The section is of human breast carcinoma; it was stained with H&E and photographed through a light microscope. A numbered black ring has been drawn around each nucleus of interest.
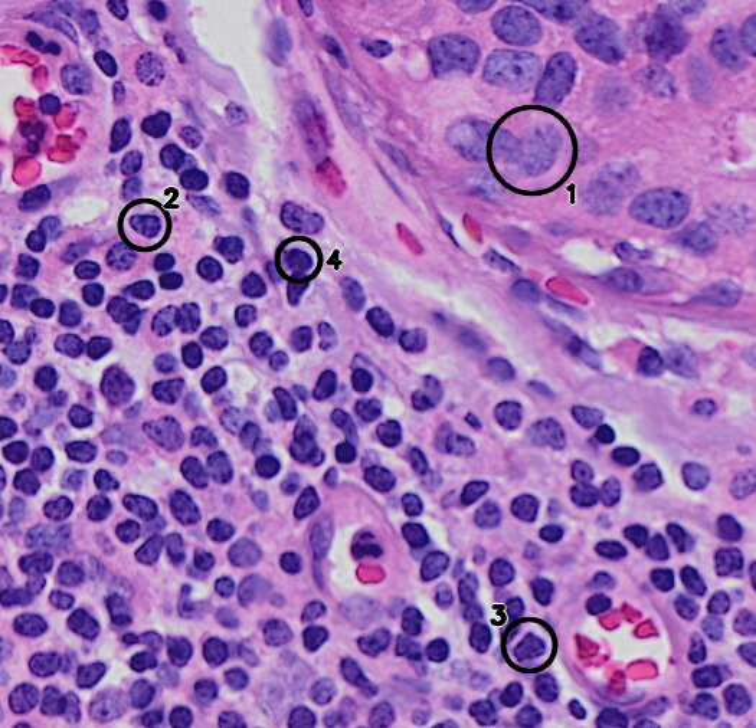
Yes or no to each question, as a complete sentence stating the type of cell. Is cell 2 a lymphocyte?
Yes, the cell labelled with number 2 is a lymphocyte.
